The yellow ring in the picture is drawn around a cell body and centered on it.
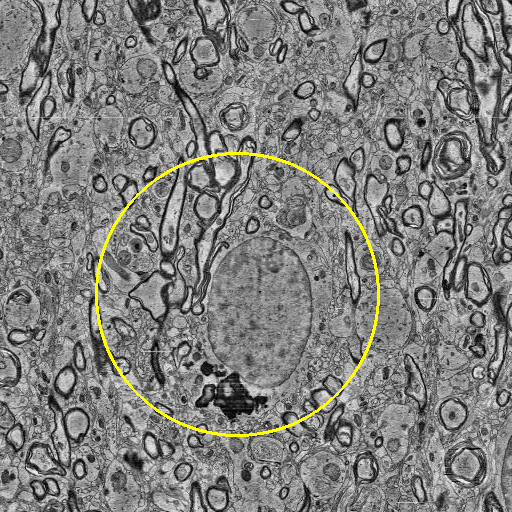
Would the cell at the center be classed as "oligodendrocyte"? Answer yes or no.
Yes, it belongs to that class.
